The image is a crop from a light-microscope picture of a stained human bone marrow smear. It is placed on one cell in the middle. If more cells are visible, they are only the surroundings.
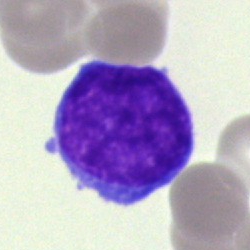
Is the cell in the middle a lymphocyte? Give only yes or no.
no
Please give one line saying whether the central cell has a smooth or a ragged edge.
The perimeter of the cell is irregular, with ragged sections or outward projections.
